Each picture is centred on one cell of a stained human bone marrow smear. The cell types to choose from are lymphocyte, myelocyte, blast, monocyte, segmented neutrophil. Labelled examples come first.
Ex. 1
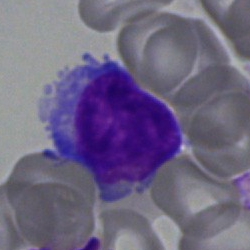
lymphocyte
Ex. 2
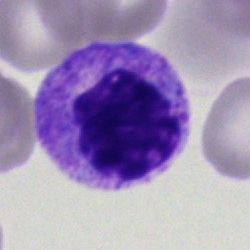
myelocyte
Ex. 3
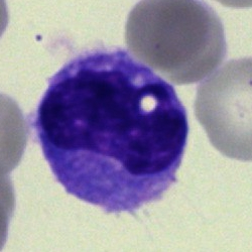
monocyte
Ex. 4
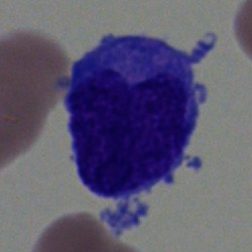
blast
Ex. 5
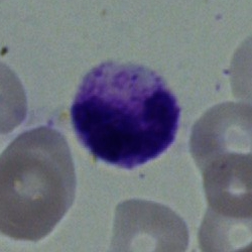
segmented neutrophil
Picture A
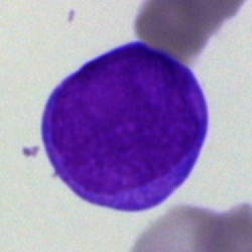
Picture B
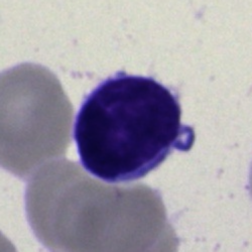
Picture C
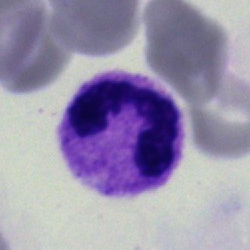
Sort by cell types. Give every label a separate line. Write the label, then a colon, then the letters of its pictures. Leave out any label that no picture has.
lymphocyte: B
blast: A
segmented neutrophil: C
